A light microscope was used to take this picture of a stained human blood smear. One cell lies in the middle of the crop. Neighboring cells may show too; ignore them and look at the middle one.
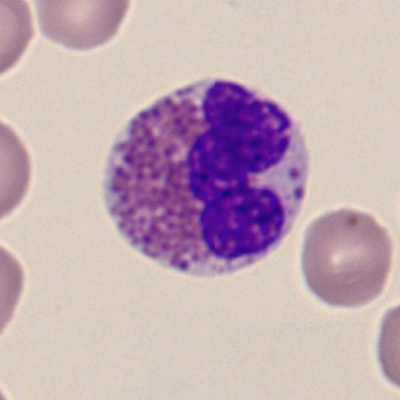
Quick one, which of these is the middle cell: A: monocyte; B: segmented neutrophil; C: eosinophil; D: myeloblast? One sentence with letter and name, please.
Option C, which names the central cell as an eosinophil, is correct.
